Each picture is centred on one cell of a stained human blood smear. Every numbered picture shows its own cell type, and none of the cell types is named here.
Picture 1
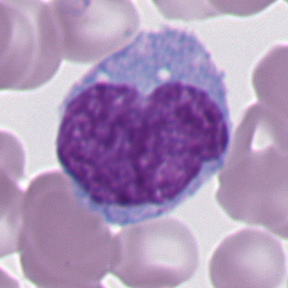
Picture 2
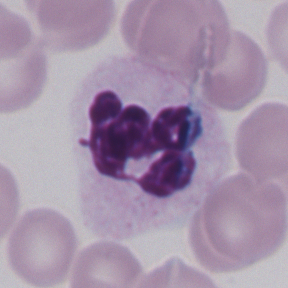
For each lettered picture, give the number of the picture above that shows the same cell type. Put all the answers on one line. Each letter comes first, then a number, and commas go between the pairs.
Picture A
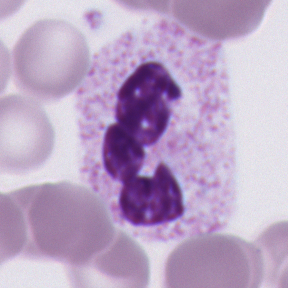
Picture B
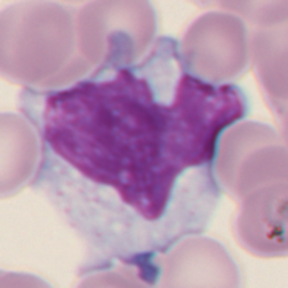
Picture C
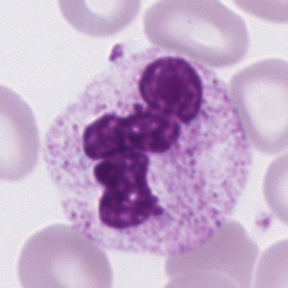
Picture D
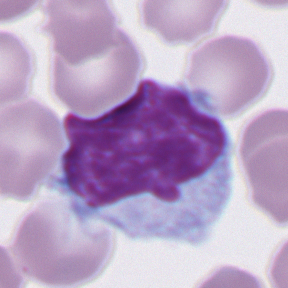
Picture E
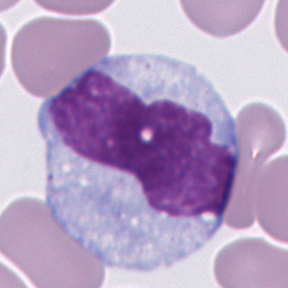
A 2, B 1, C 2, D 1, E 1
